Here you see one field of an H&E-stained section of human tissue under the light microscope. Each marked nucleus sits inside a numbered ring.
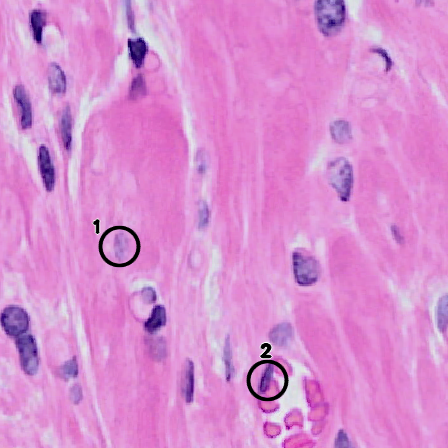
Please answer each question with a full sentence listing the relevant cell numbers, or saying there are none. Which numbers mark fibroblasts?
There is only one numbered cell that is a fibroblast, and it is cell 1.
